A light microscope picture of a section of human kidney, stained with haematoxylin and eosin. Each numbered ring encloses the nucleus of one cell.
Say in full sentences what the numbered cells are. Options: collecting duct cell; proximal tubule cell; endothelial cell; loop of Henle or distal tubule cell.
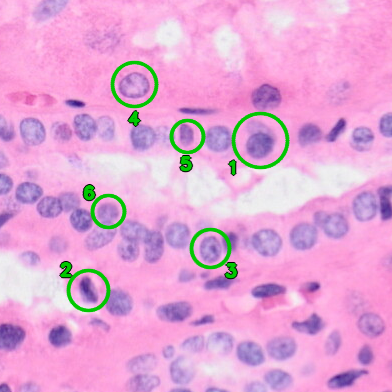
Cells 1, 3, 5 and 6 are collecting duct cells. Cell 2 is a loop of Henle or distal tubule cell. Cell 4 is a proximal tubule cell.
